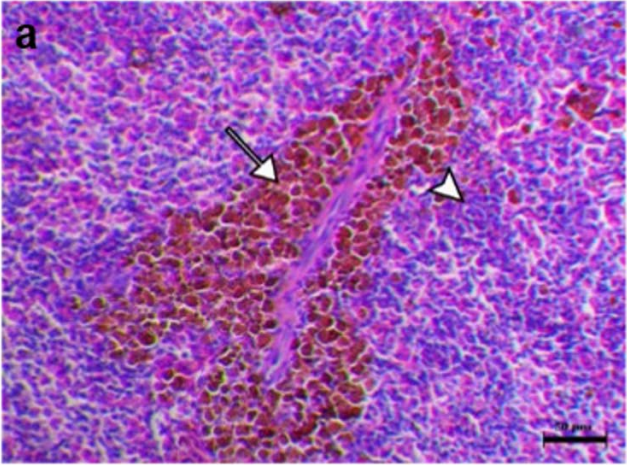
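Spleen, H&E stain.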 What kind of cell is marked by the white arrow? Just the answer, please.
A: Melanomacrophage cells.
